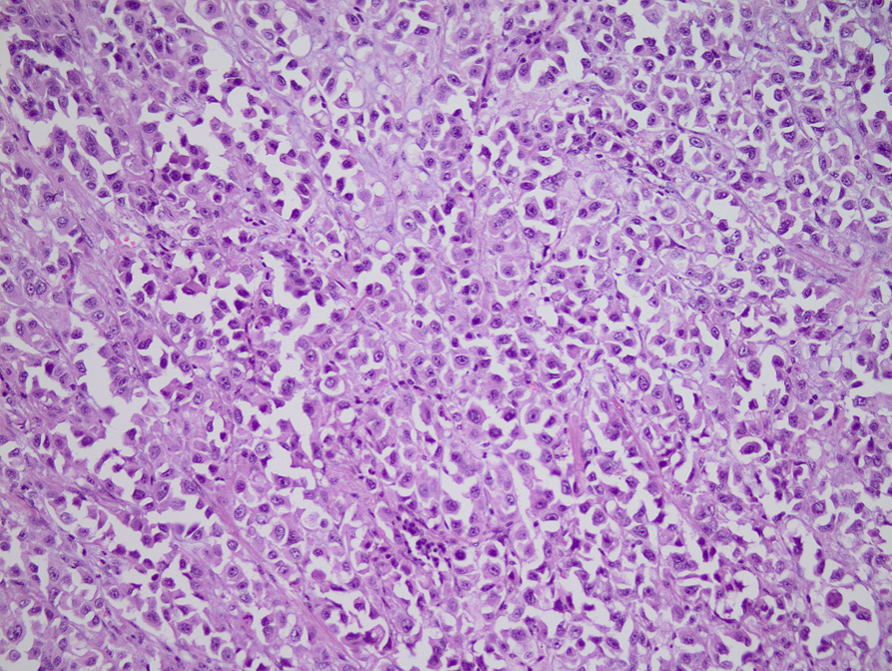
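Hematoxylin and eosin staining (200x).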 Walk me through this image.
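The cells grow singly or in loose cords, separated by clear spaces and thin pink strands of stroma, rather than forming cohesive nests. Many cells are round to polygonal with a moderately large, dark purple nucleus that sits off-centre at one side of the cell. The cytoplasm is fairly abundant and pink, giving the cells a resemblance to plasma cells. Nuclei vary in size and some show visible nucleoli, consistent with malignant cells.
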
